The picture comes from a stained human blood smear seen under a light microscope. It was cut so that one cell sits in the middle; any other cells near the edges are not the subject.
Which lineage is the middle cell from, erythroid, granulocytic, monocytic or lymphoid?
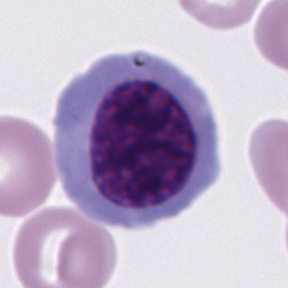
erythroid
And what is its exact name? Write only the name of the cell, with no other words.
normoblast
